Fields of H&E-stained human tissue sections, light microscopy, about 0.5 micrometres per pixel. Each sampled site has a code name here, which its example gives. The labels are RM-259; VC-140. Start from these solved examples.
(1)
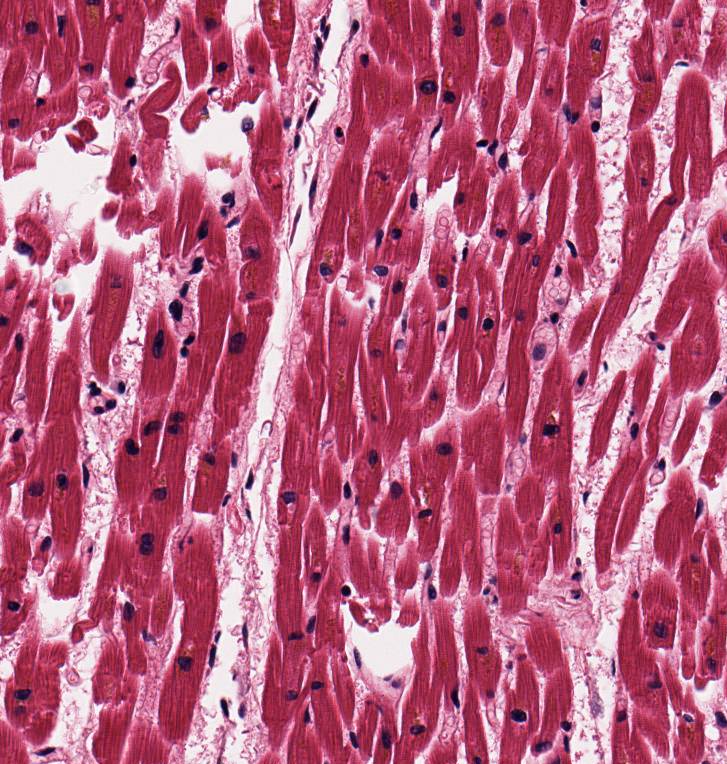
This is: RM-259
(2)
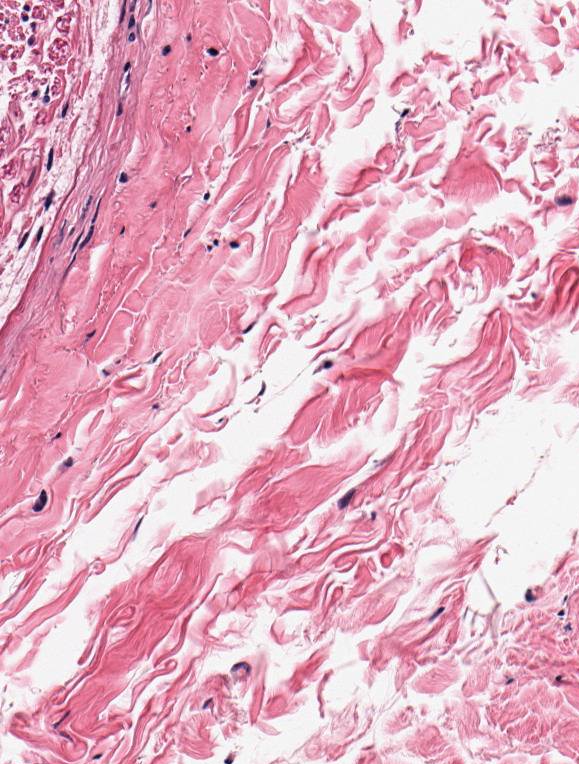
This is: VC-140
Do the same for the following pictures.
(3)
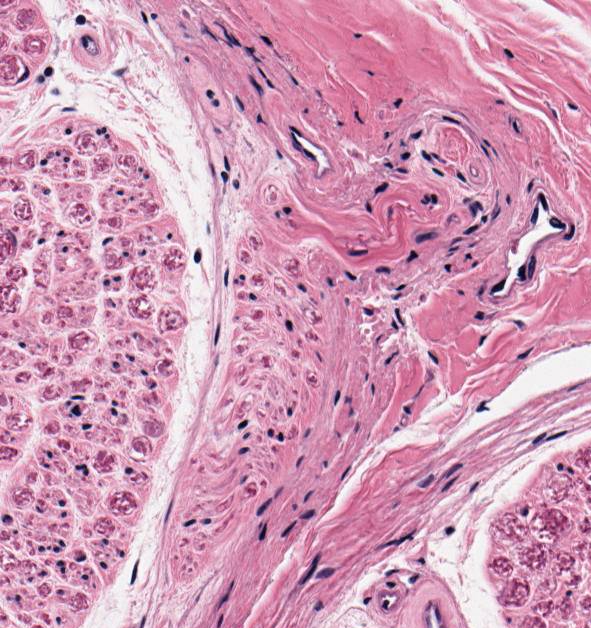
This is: VC-140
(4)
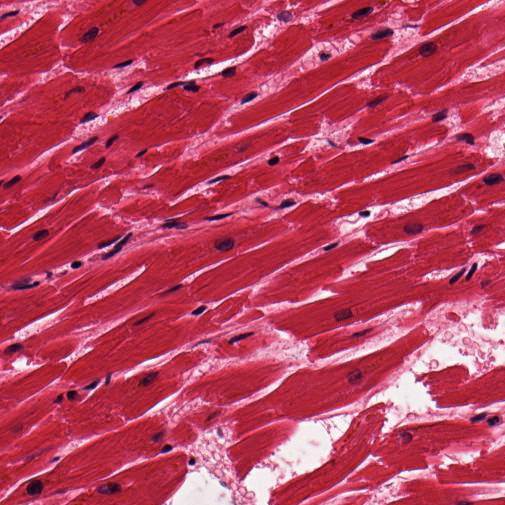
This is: RM-259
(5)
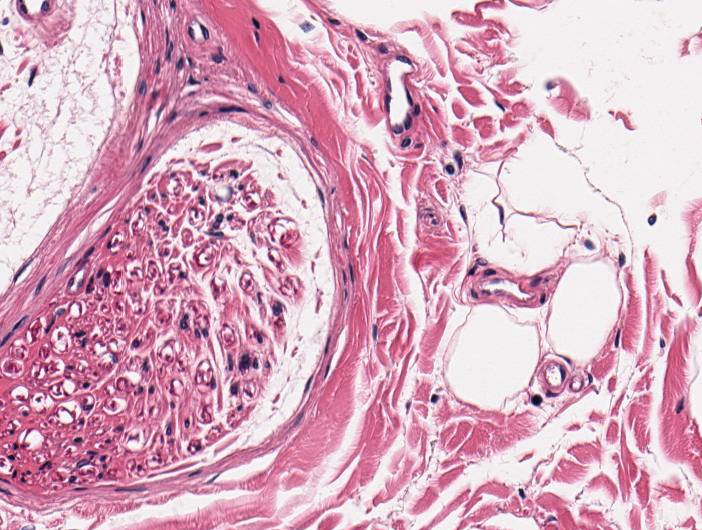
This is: VC-140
